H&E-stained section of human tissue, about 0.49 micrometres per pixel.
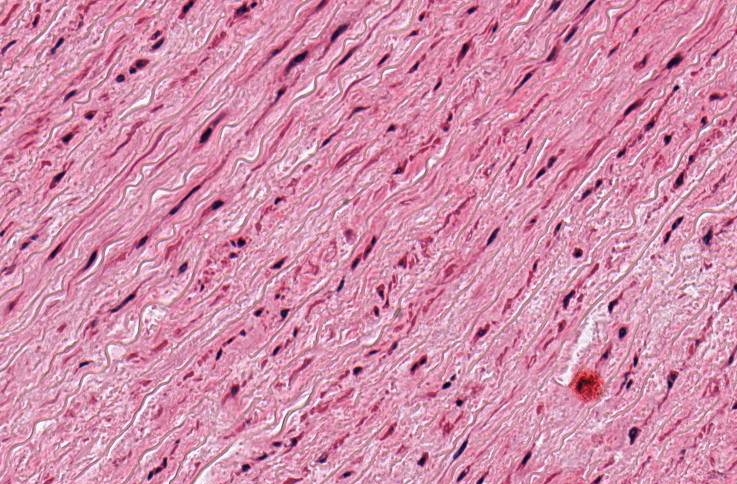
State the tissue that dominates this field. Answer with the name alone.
tunica media of an artery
